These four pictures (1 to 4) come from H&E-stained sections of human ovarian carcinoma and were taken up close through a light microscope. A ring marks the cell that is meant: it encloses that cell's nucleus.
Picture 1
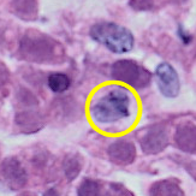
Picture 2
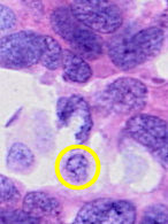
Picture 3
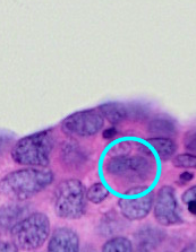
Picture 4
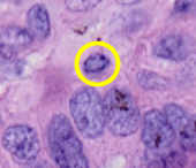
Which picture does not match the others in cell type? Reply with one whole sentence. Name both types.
Picture 3 is the odd one out: it shows a carcinoma cell, while the others show “macrophages or monocytes”.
